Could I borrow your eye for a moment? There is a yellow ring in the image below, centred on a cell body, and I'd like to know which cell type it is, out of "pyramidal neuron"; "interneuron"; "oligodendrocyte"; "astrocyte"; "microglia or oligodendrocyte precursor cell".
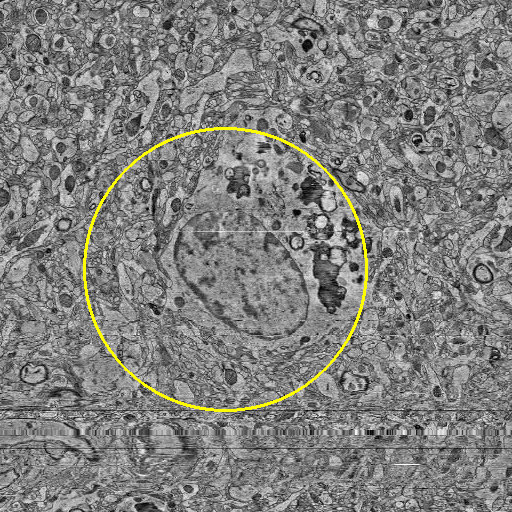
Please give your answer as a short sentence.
The cell body at the centre is that of an astrocyte.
